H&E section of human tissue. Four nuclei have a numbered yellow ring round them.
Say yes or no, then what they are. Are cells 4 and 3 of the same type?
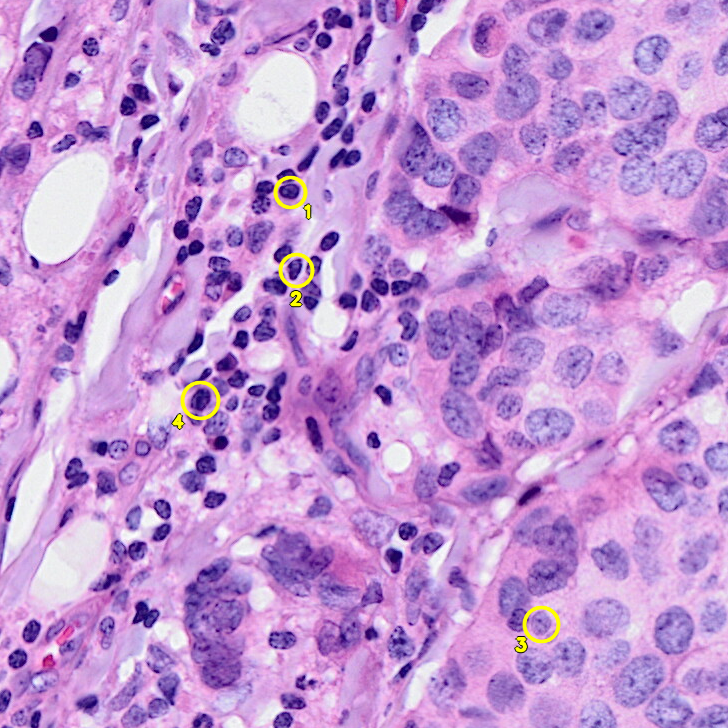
No, cell 4 is a lymphocyte and cell 3 is a carcinoma cell.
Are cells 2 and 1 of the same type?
Yes, both are lymphocytes.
